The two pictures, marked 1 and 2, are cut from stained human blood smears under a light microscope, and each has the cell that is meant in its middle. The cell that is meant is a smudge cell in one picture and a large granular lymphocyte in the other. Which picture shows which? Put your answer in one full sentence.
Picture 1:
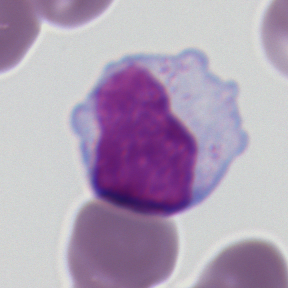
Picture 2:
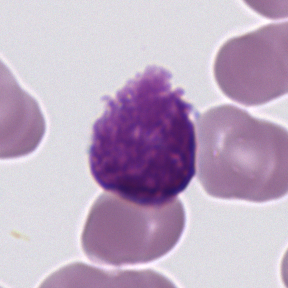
Picture 2 shows a smudge cell, while picture 1 shows a large granular lymphocyte.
